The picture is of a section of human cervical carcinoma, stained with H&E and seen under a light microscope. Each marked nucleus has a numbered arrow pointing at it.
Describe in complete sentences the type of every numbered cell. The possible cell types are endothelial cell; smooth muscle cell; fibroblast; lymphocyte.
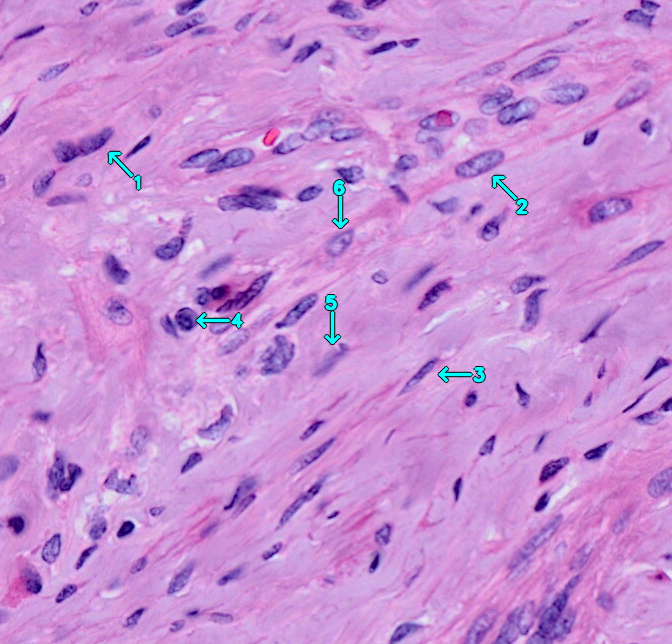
Cells 1, 3 and 5 are fibroblasts. Cell 2 is a smooth muscle cell. Cell 4 is a lymphocyte. Cell 6 is an endothelial cell.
